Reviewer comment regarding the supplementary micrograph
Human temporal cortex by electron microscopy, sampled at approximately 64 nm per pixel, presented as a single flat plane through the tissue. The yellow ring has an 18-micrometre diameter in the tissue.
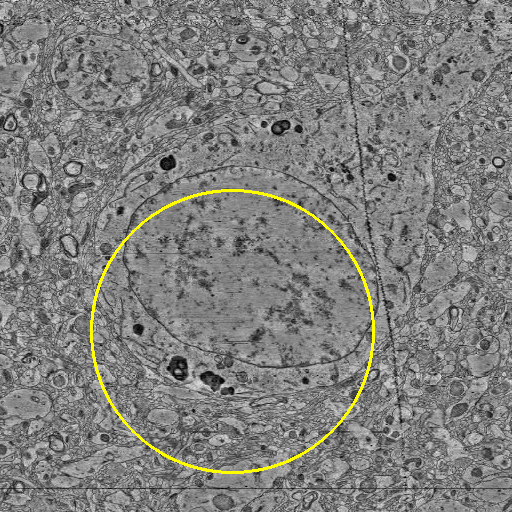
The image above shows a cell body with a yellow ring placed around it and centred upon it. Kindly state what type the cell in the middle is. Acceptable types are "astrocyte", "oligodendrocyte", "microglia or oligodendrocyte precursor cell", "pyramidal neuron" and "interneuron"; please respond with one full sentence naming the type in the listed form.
In the image above, the cell on which the yellow ring is centred is a pyramidal neuron.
